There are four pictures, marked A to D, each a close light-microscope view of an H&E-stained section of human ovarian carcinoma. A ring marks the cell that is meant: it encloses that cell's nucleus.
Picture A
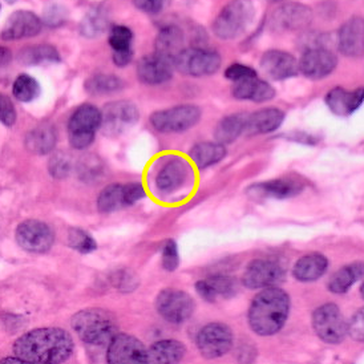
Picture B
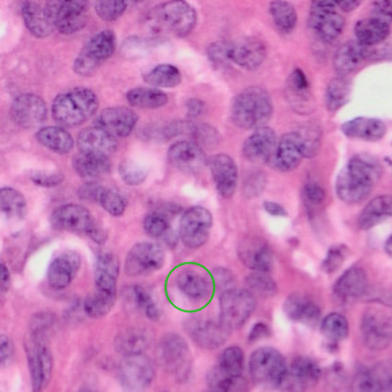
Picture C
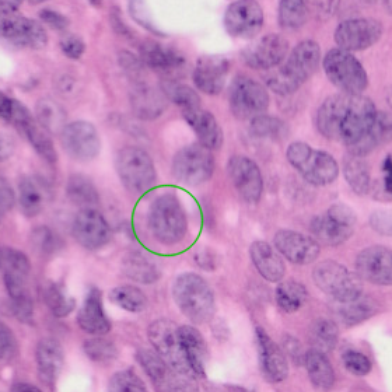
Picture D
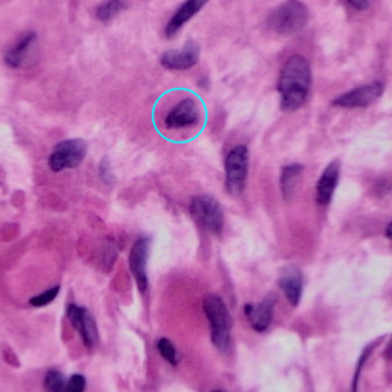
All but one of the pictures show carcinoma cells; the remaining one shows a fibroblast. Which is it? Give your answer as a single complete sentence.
The fibroblast is the one in picture D.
